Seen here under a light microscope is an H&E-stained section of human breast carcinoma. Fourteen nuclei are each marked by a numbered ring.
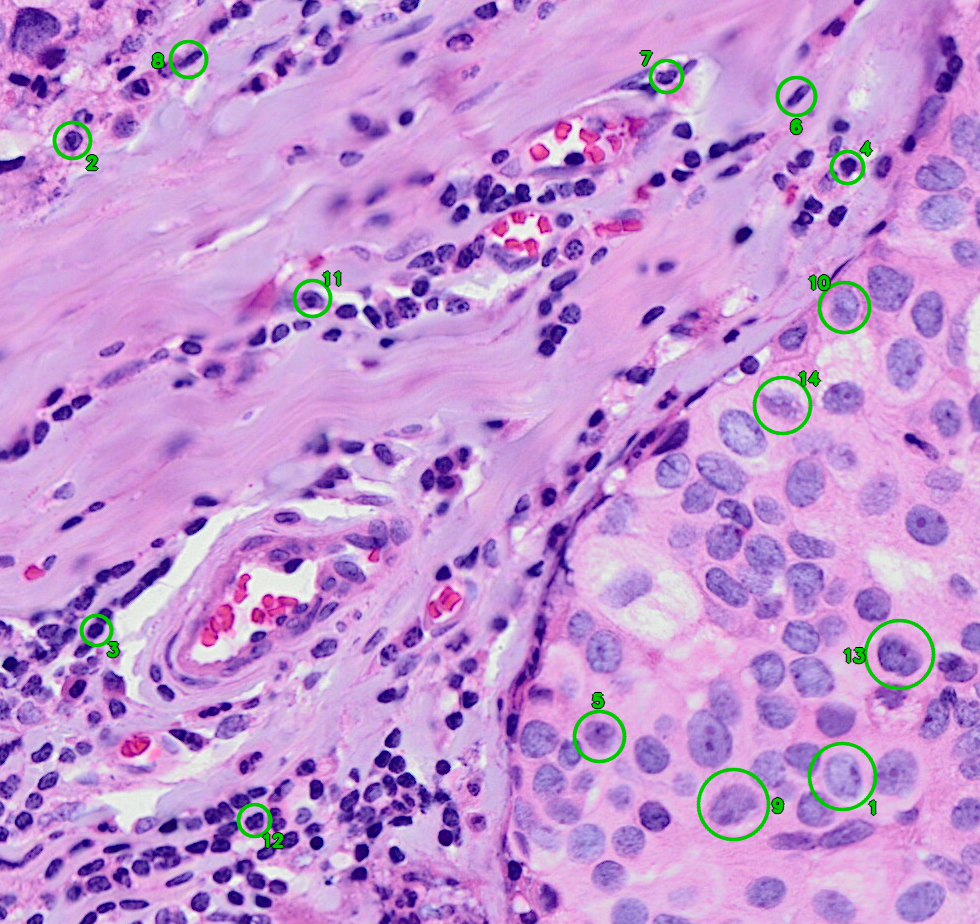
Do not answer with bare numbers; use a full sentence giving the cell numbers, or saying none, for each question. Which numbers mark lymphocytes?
The cells numbered 2, 3, 4, 6, 7, 8, 11 and 12 are, by type, lymphocytes.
